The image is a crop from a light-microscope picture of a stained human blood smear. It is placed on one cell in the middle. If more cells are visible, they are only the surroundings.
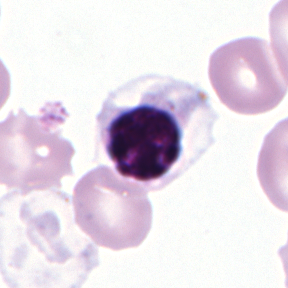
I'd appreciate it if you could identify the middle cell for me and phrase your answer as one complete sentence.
The cell sitting right in the middle is an erythroblast.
